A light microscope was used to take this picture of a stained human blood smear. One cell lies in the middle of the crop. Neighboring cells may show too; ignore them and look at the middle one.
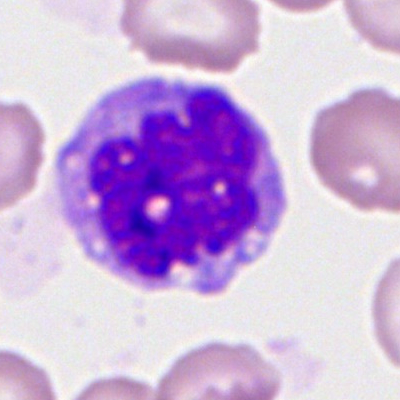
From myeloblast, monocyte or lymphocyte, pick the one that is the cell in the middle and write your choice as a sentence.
The cell in the middle of the field of view is a monocyte.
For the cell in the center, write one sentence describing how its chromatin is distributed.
This nucleus has coarsely clumped chromatin.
